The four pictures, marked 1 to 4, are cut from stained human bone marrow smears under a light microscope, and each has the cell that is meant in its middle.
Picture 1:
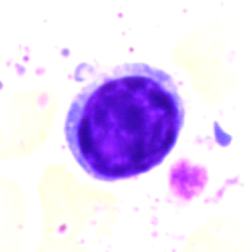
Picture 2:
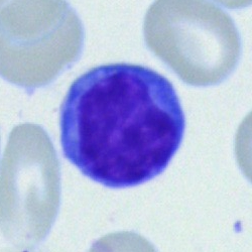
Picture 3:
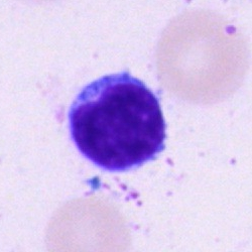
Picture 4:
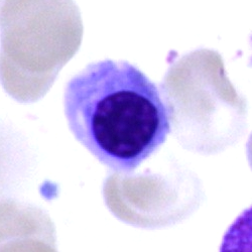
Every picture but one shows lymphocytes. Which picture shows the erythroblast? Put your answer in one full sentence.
The erythroblast is the one in picture 4.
